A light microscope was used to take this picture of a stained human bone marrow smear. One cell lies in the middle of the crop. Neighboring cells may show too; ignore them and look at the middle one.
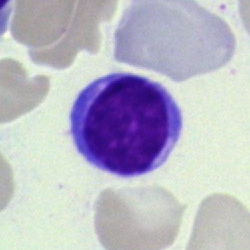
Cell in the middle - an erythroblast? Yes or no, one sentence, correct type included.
No, the middle cell is classified as a lymphocyte and not as an erythroblast.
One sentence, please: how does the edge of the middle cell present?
The border of this cell runs smooth and free of any projections.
